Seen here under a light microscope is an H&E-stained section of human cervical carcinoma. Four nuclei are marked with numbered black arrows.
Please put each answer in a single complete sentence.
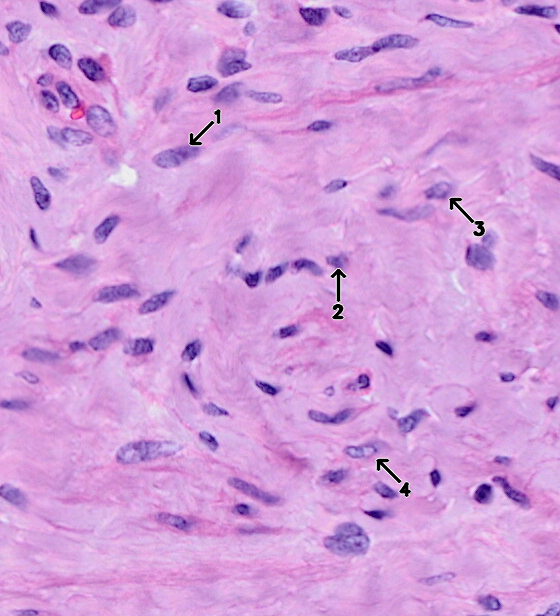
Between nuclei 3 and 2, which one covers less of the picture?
The smaller nucleus is 2, and 3 covers roughly 1.5 times its area.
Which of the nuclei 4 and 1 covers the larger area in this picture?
At about 1.5 times the area of nucleus 4, nucleus 1 is the larger of the two.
